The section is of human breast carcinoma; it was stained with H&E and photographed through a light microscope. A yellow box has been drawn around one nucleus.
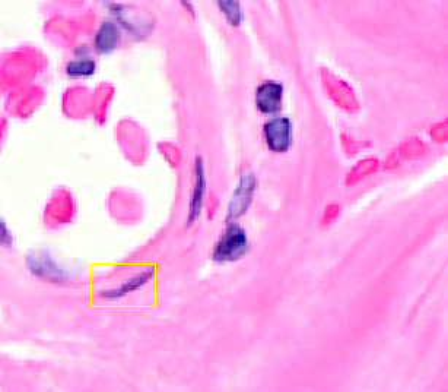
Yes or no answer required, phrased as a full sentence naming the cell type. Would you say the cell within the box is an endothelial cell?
Yes, the cell within the box in this section represents an endothelial cell.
